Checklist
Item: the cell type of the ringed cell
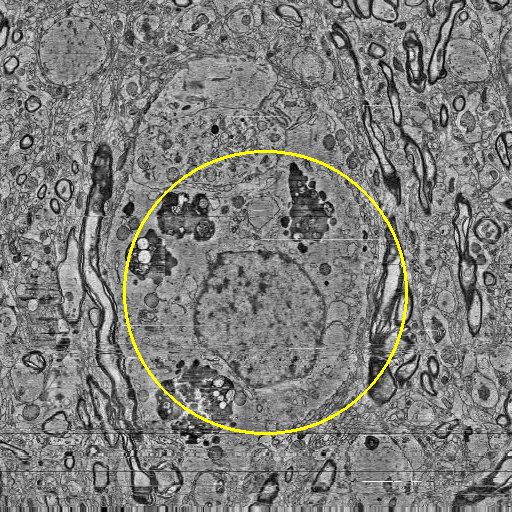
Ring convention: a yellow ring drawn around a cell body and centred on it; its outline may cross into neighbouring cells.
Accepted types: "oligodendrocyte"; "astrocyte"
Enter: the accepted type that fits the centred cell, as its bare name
astrocyte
